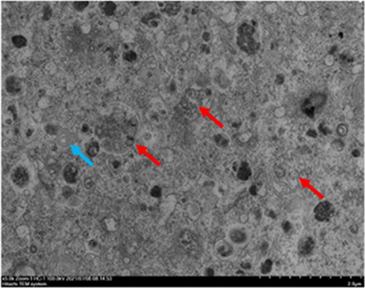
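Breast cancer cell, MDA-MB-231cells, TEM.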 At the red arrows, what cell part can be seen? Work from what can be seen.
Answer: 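Many vacuoles lie scattered through the cytoplasm. The marked vacuoles hold mixed dense and granular material. That points to this answer: autophagy lysosomes.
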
